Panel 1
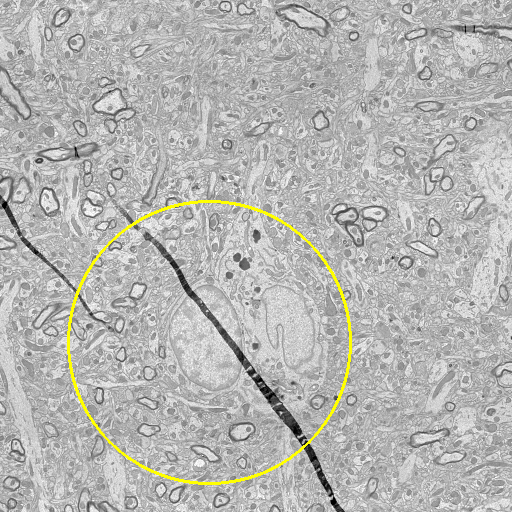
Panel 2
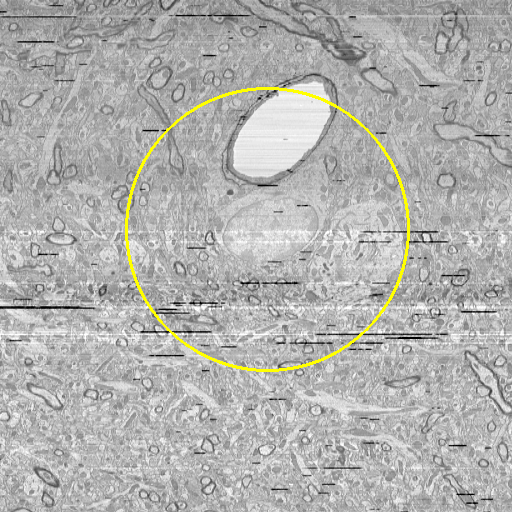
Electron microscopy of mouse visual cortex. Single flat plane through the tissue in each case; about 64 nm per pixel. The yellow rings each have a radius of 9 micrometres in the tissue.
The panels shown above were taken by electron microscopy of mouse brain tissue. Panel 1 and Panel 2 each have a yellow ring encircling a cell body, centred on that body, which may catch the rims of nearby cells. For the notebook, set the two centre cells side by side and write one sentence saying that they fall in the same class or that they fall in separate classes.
The centred cells of Panel 1 and Panel 2 fall in the same class.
